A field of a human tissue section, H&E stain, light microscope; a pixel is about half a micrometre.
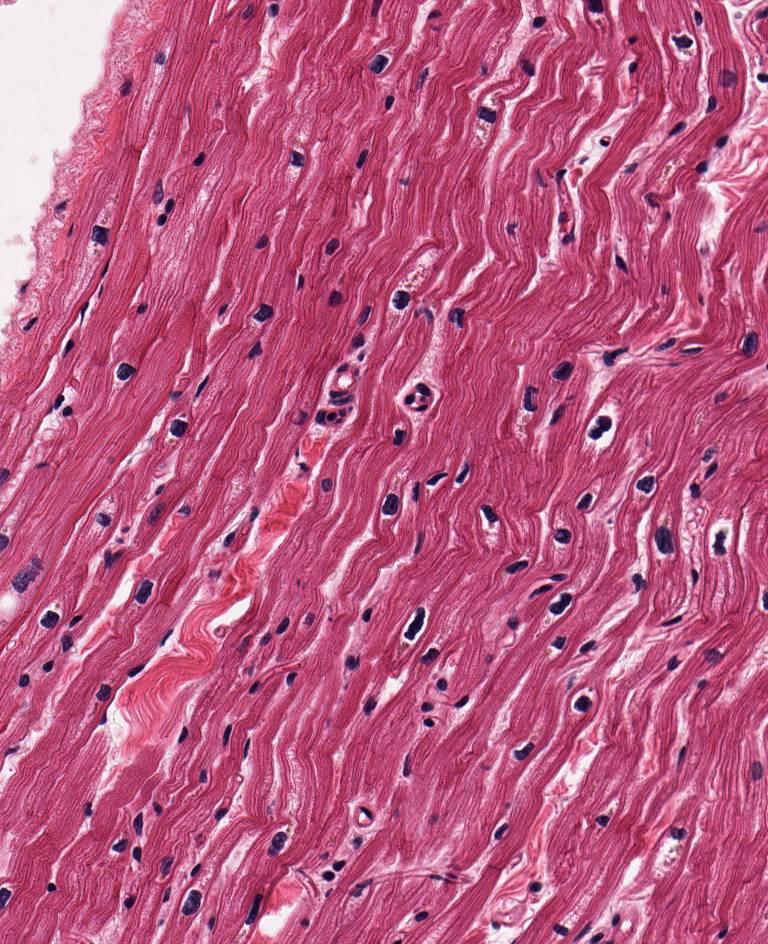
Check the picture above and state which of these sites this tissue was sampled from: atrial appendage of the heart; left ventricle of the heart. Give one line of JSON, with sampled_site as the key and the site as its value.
{"sampled_site": "atrial appendage of the heart"}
